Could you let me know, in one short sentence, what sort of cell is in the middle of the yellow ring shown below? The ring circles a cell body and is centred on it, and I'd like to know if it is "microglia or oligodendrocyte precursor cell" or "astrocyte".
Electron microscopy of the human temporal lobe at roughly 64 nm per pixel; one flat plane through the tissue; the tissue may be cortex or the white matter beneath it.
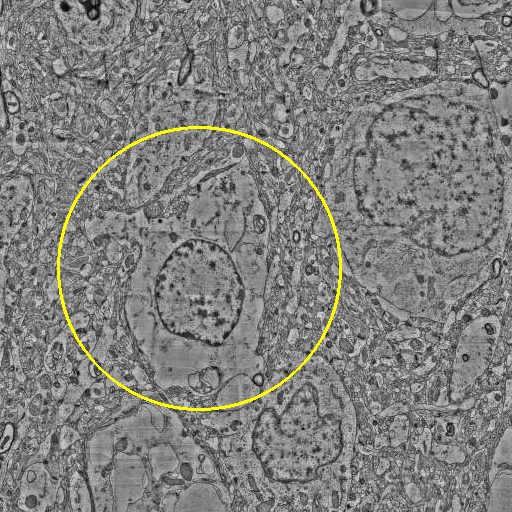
The ring circles the cell body of an astrocyte.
